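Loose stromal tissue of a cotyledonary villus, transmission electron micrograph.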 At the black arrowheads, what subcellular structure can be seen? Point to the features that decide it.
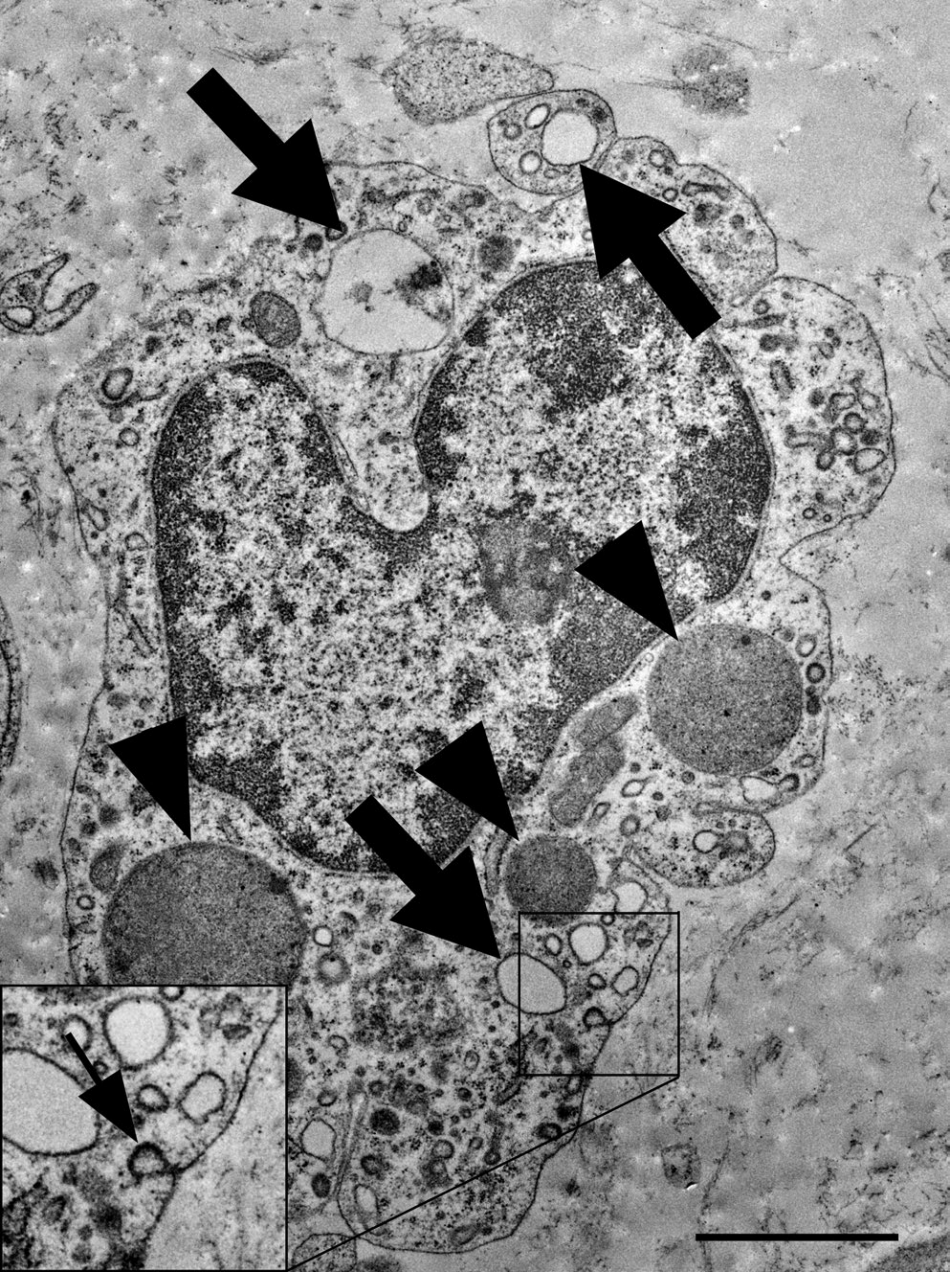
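Round, membrane-bound bodies with uniformly dark, fine-grained content. They lie in the cytoplasm beside the nucleus. On this evidence: lysosomes.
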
